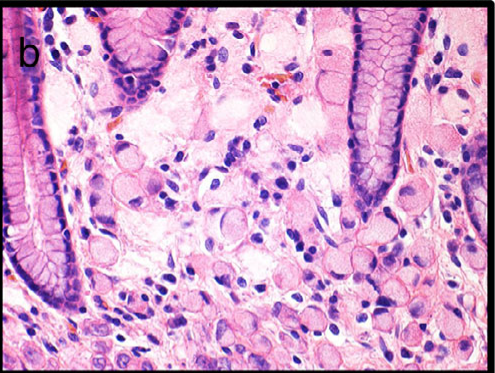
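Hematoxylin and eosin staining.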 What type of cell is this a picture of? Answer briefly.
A: Signet ring cell carcinoma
